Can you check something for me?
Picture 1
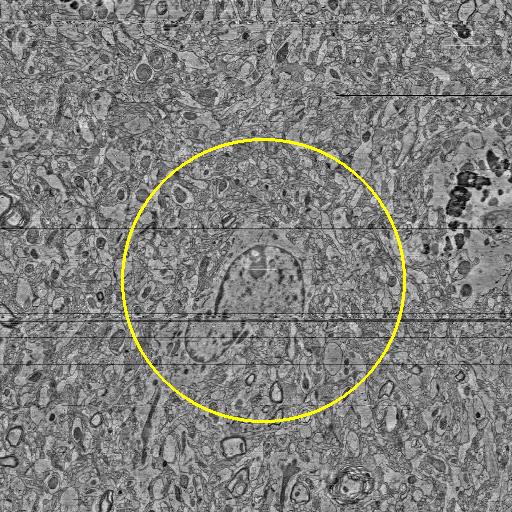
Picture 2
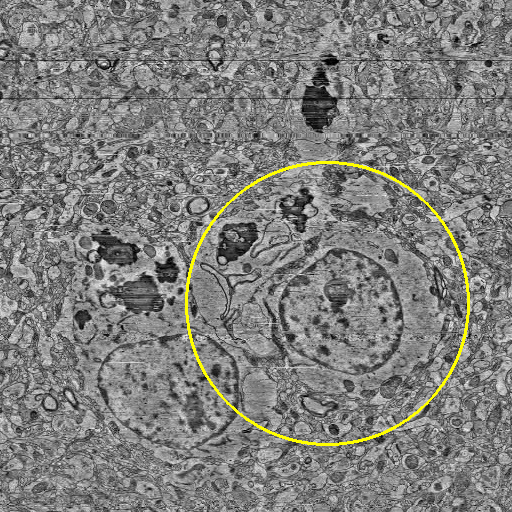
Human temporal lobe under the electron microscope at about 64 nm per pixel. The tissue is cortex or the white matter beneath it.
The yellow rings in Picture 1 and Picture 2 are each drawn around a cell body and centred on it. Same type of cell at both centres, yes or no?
yes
